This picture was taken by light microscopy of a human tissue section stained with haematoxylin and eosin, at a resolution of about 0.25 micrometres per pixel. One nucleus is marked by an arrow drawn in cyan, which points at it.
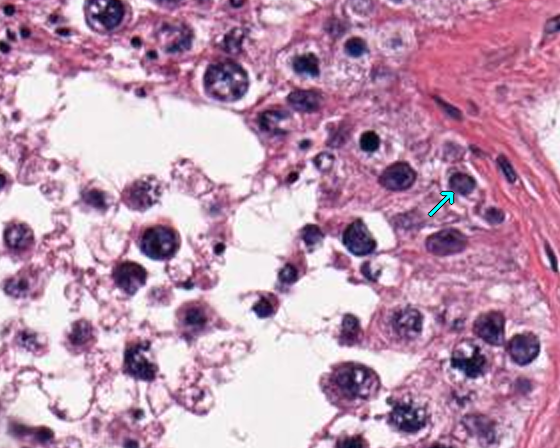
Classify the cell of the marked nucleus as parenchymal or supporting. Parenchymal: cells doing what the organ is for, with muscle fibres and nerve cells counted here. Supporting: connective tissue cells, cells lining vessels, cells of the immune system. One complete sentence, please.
In the tissue shown, the marked nucleus is that of a spermatogonium, a parenchymal cell.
